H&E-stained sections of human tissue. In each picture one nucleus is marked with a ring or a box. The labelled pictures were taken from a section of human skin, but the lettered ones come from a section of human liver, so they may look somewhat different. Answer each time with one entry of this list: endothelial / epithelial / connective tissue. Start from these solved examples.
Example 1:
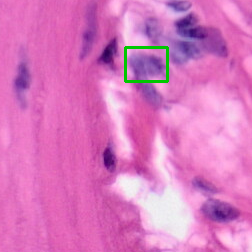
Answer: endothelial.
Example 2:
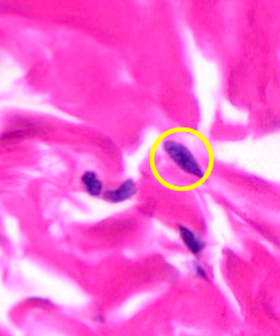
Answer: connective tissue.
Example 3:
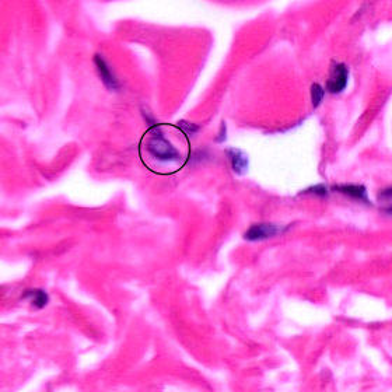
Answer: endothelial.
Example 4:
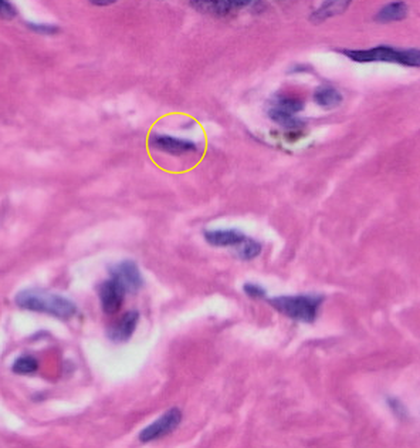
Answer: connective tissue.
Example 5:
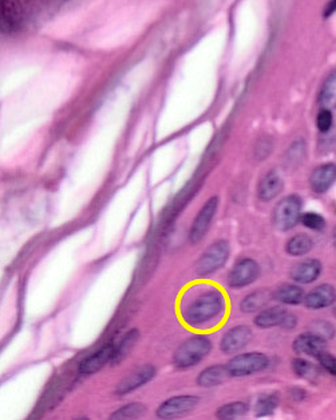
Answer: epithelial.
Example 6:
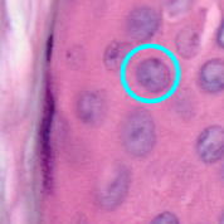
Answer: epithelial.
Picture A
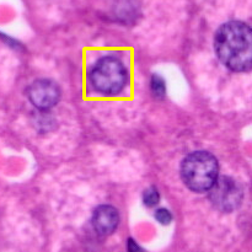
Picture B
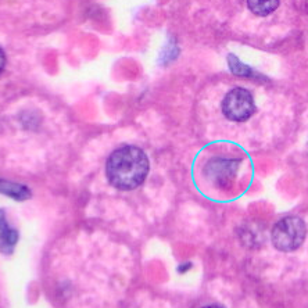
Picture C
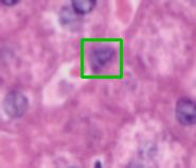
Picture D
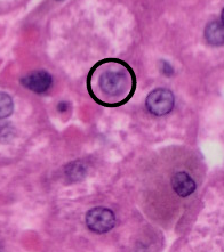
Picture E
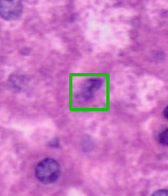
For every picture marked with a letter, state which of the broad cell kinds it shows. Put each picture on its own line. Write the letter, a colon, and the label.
A: epithelial.
B: endothelial.
C: endothelial.
D: epithelial.
E: endothelial.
